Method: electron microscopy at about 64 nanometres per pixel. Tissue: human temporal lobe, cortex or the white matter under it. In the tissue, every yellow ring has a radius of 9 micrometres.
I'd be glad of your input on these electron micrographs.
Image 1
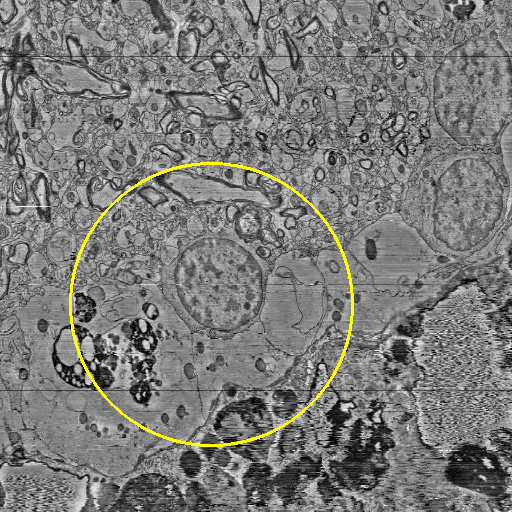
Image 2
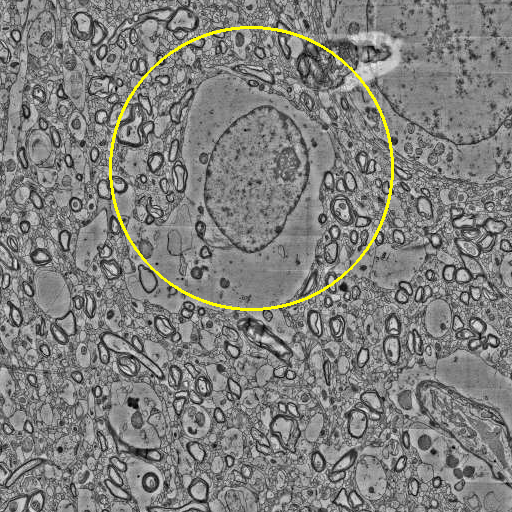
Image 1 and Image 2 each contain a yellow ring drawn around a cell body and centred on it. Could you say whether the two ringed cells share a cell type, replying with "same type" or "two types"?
two types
